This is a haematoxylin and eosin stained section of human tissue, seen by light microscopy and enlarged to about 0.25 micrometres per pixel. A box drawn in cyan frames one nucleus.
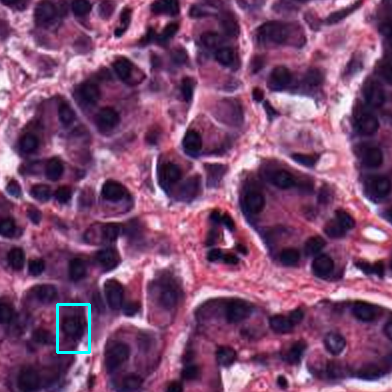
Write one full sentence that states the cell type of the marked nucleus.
The marked nucleus is a nucleus of a pancreatic acinar cell.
